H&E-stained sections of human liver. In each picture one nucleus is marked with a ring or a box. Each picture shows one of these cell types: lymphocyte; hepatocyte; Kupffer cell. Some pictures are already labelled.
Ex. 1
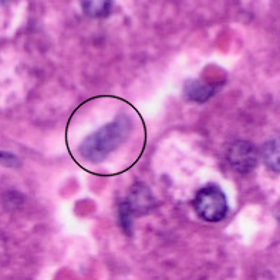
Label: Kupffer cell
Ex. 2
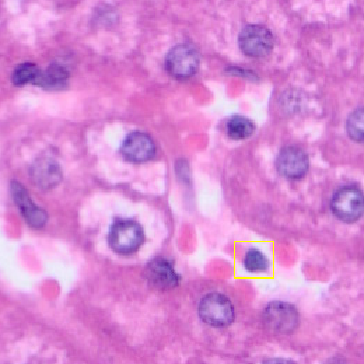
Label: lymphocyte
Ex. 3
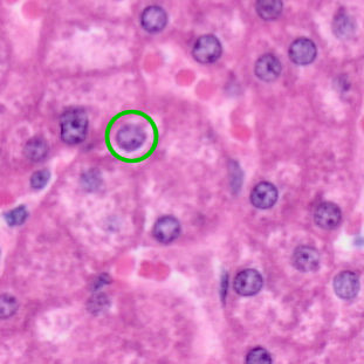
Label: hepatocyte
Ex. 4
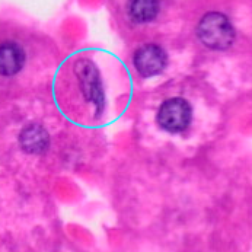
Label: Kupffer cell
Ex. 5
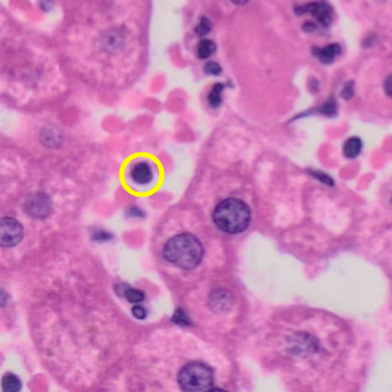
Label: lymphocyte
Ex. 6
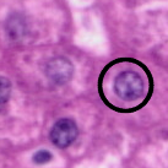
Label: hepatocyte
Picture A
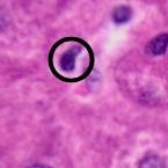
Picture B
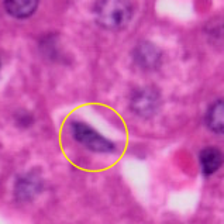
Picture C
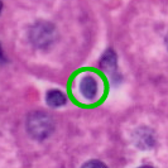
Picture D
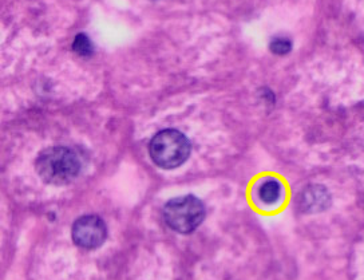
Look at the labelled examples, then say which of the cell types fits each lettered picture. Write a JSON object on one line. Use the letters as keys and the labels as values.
{"A": "lymphocyte", "B": "Kupffer cell", "C": "lymphocyte", "D": "lymphocyte"}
